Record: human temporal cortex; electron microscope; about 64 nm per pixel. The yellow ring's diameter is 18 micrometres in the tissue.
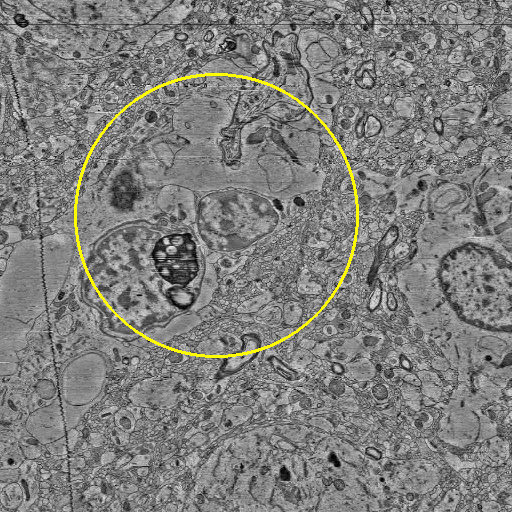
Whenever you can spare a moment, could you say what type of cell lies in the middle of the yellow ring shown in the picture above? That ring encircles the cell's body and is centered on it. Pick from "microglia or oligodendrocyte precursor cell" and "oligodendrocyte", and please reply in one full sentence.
The cell whose body sits at the middle of the yellow ring is a microglial cell or oligodendrocyte precursor cell.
